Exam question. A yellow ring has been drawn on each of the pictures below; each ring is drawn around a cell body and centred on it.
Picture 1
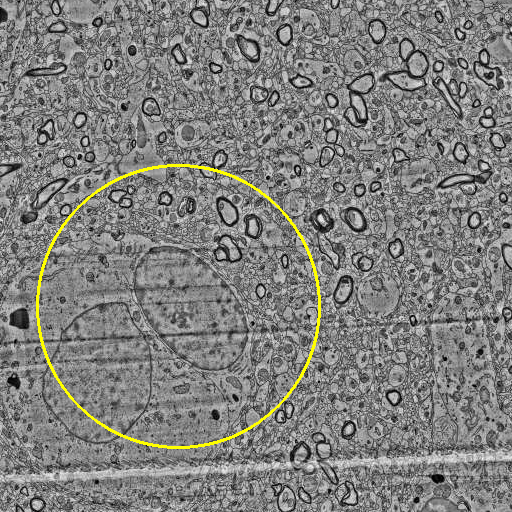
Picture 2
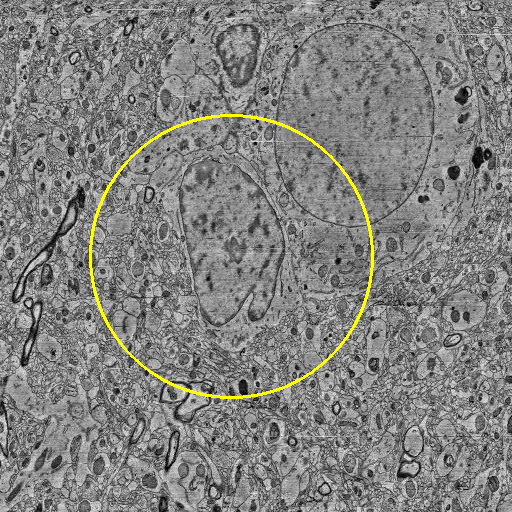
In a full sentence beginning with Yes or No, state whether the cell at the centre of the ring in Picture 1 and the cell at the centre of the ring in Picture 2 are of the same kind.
Yes, the two cells are of the same kind.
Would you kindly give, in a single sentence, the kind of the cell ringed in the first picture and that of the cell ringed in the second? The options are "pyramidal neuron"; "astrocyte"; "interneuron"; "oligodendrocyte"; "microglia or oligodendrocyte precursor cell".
The ring centre holds a microglial cell or oligodendrocyte precursor cell in each of the two pictures.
